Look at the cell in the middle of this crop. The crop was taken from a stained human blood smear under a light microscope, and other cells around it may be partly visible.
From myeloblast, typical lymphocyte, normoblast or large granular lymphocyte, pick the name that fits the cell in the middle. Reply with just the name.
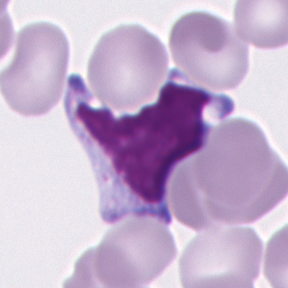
large granular lymphocyte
